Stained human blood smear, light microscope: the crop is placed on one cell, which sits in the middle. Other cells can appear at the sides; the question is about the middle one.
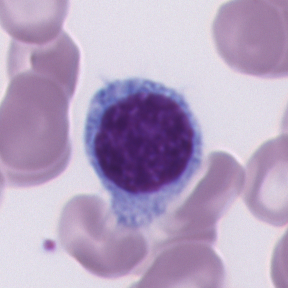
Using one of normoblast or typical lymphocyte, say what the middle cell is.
typical lymphocyte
